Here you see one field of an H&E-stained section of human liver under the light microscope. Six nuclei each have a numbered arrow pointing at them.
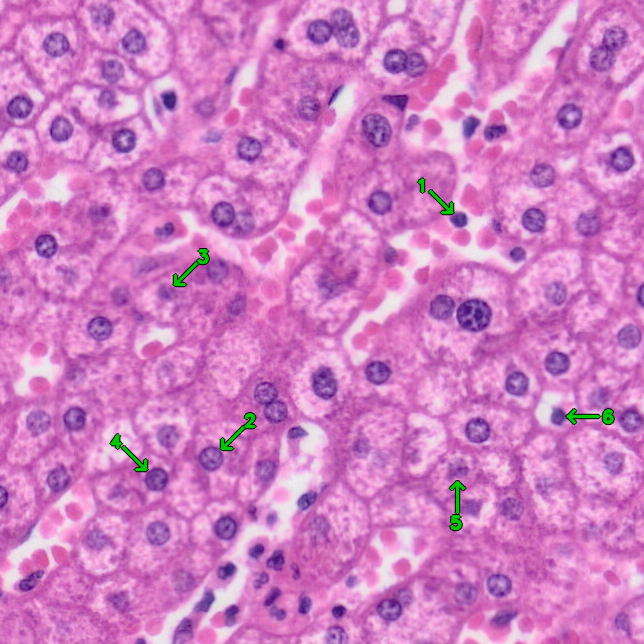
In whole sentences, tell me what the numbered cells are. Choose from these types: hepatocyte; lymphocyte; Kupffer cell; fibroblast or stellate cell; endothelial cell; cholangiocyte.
Cell 1 is a lymphocyte, cell 2 is a hepatocyte, cell 3 is a hepatocyte, cell 4 is a hepatocyte, cell 5 is a hepatocyte and cell 6 is a lymphocyte.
